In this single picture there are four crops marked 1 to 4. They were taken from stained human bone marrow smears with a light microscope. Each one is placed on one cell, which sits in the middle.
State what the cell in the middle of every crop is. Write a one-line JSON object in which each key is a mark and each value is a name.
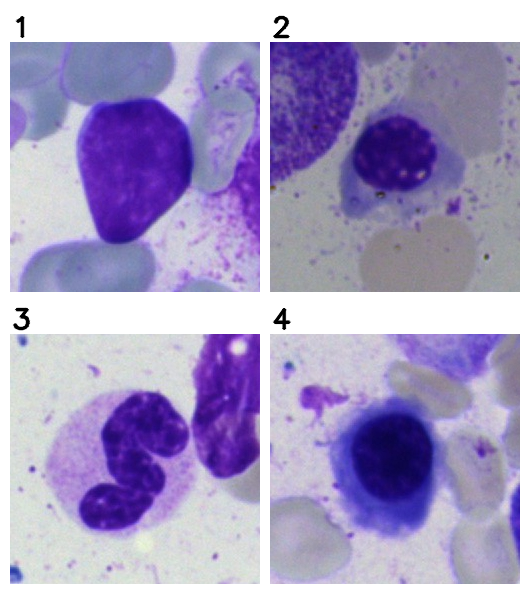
{"1": "blast", "2": "normoblast", "3": "neutrophil", "4": "normoblast"}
